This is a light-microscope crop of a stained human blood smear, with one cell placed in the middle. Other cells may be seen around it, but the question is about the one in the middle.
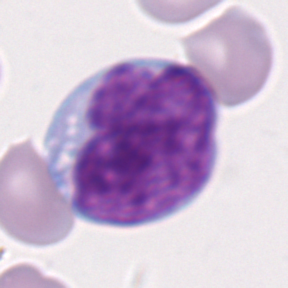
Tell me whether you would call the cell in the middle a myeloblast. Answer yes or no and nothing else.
yes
